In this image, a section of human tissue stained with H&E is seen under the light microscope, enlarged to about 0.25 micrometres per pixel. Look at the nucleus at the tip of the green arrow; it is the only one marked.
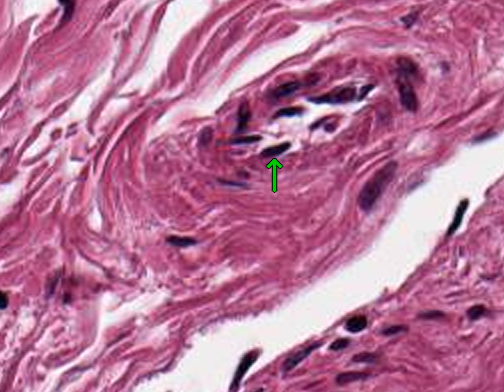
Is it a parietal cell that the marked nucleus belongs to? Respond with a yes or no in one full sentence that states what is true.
No, the marked nucleus lies within a supporting cell, not within a parietal cell.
